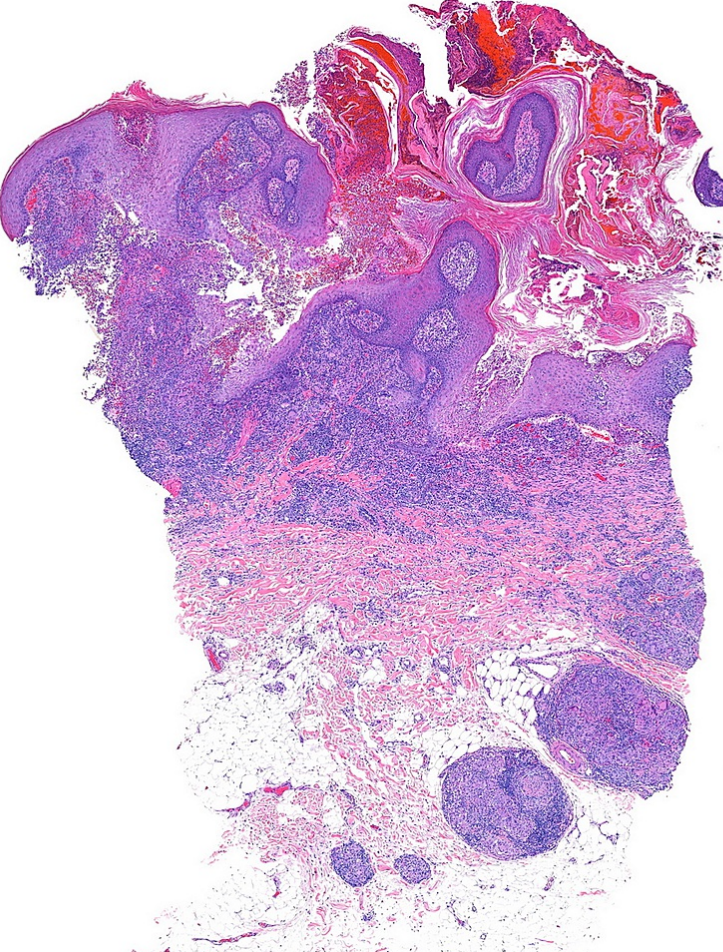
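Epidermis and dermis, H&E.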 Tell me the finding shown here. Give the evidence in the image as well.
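The epidermis at the top is markedly thickened with irregular tongues reaching down into the dermis. The surface is warty and undulating, with thick compact pink keratin and red blood-tinged crust on top. That points to this answer: Verrucous pseudoepitheliomatous hyperplasia.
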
